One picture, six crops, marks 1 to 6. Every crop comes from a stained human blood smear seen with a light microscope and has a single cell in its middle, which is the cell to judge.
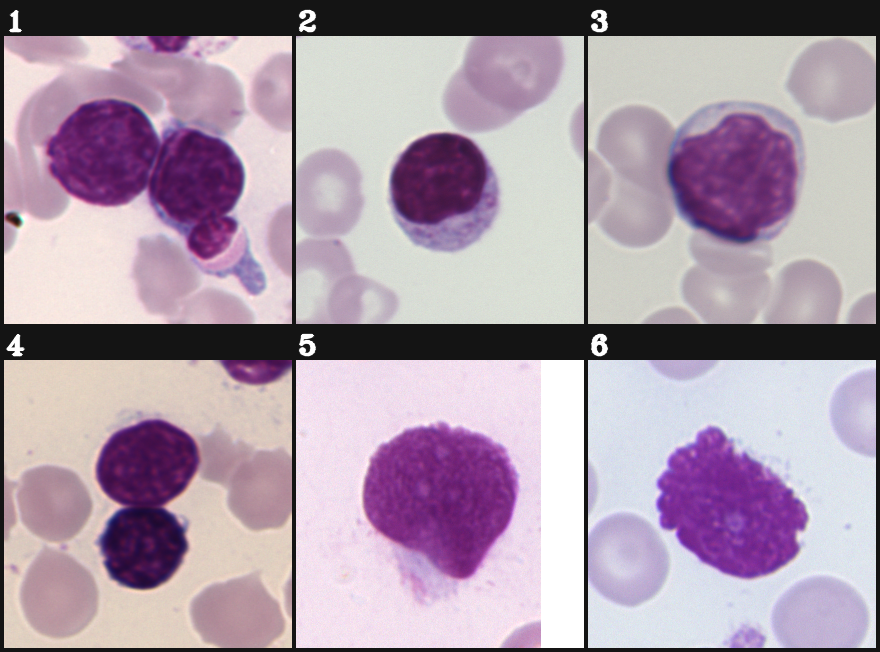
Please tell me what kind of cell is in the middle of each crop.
1: myeloblast
2: large granular lymphocyte
3: large granular lymphocyte
4: myeloblast
5: smudge cell
6: smudge cell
